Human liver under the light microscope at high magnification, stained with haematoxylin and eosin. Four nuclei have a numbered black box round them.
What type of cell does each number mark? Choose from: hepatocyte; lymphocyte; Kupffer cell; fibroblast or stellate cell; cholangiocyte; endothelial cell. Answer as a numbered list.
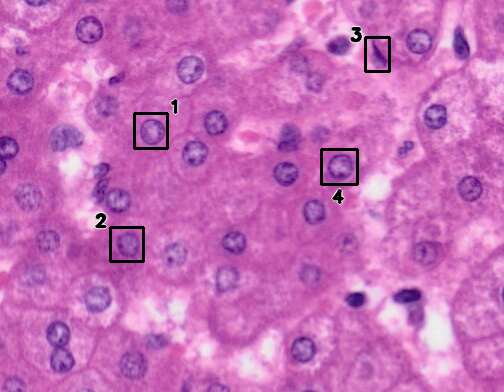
1. hepatocyte
2. hepatocyte
3. endothelial cell
4. hepatocyte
